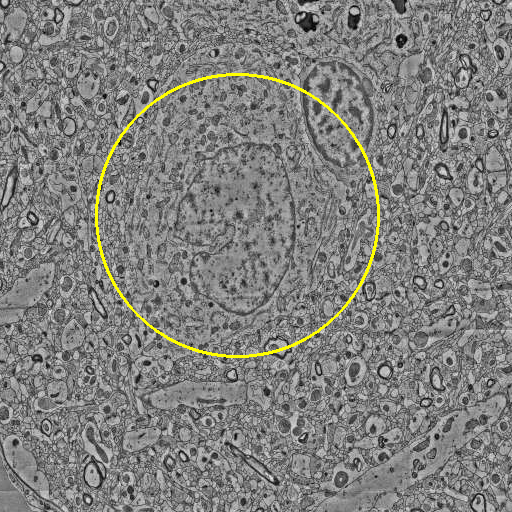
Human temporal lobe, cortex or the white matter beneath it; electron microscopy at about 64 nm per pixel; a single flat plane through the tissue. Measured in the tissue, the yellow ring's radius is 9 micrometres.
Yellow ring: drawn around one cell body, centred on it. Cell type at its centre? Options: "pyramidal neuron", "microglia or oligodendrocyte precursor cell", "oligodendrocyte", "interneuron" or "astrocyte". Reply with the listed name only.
interneuron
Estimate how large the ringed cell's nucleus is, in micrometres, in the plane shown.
The nucleus works out at approximately 11 by 8 micrometres in this plane.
